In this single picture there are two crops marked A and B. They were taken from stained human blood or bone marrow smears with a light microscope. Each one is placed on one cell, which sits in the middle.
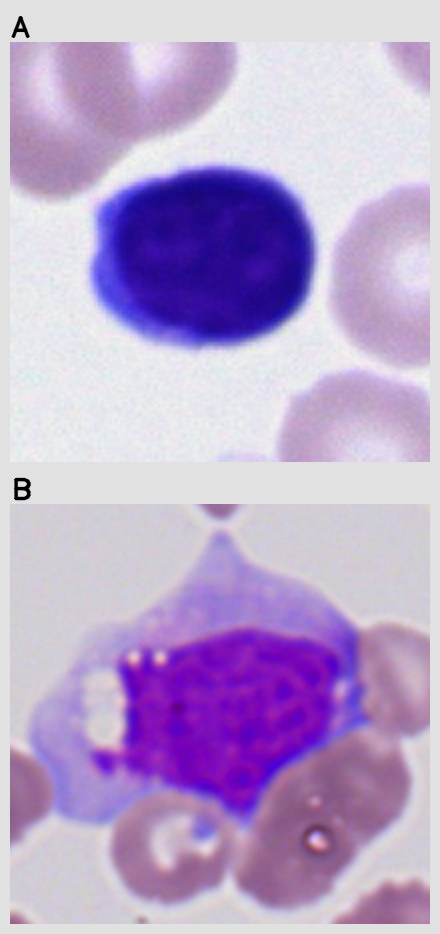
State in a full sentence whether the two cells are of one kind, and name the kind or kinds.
No, cell A is a lymphocyte, and cell B is a monocyte.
